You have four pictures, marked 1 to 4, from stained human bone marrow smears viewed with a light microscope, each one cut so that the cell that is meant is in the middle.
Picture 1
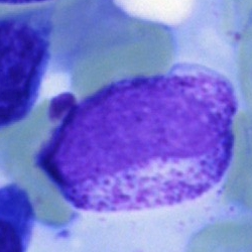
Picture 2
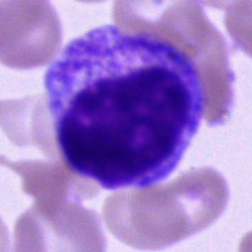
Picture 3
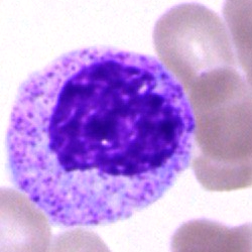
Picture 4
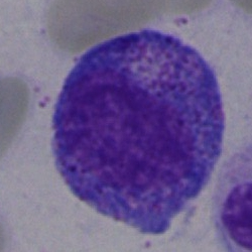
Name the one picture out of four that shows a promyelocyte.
4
